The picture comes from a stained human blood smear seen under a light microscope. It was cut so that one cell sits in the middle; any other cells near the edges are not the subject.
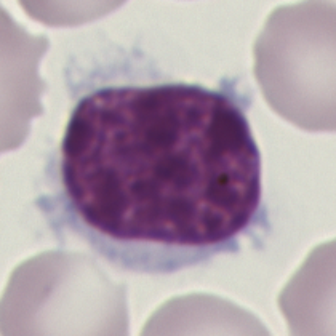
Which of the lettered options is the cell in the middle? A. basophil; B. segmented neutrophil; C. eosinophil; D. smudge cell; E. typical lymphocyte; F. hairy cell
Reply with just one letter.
F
